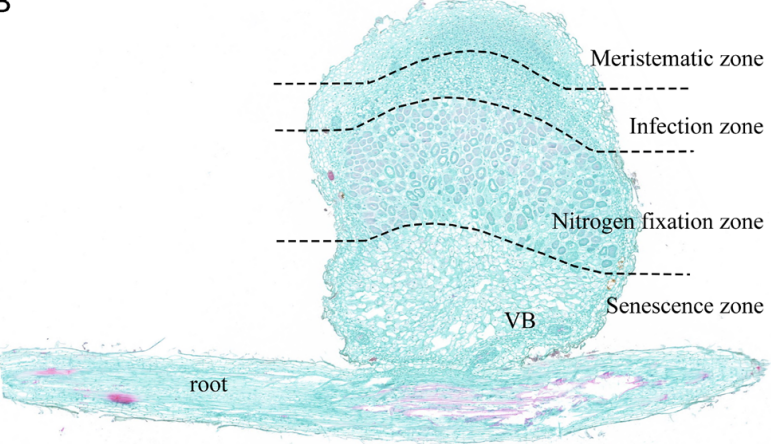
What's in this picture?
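Longitudinal section of a rounded root nodule attached to a longitudinally cut root, stained mainly blue-green. A narrow apical band of small, tightly packed cells caps the nodule. Below it lie layers of enlarged cells. The central region is filled with large, rounded cells whose cytoplasm is densely filled and tinged with faint purple. These cells are interspersed with smaller, paler cells. Toward the base, the cells become loose and vacuolated, and a vascular bundle lies near the junction with the root. The root beneath shows elongated cells with some magenta-stained streaks.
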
